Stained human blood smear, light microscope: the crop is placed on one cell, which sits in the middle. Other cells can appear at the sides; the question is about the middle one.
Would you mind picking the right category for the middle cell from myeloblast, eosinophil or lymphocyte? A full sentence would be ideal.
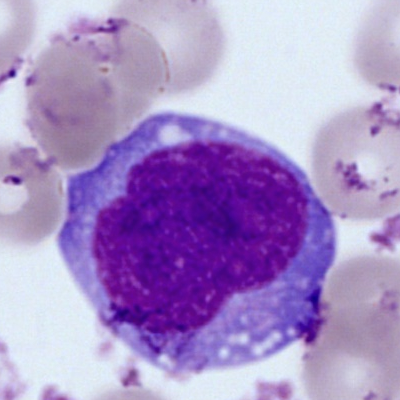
Where the crop is centred, there is a myeloblast.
